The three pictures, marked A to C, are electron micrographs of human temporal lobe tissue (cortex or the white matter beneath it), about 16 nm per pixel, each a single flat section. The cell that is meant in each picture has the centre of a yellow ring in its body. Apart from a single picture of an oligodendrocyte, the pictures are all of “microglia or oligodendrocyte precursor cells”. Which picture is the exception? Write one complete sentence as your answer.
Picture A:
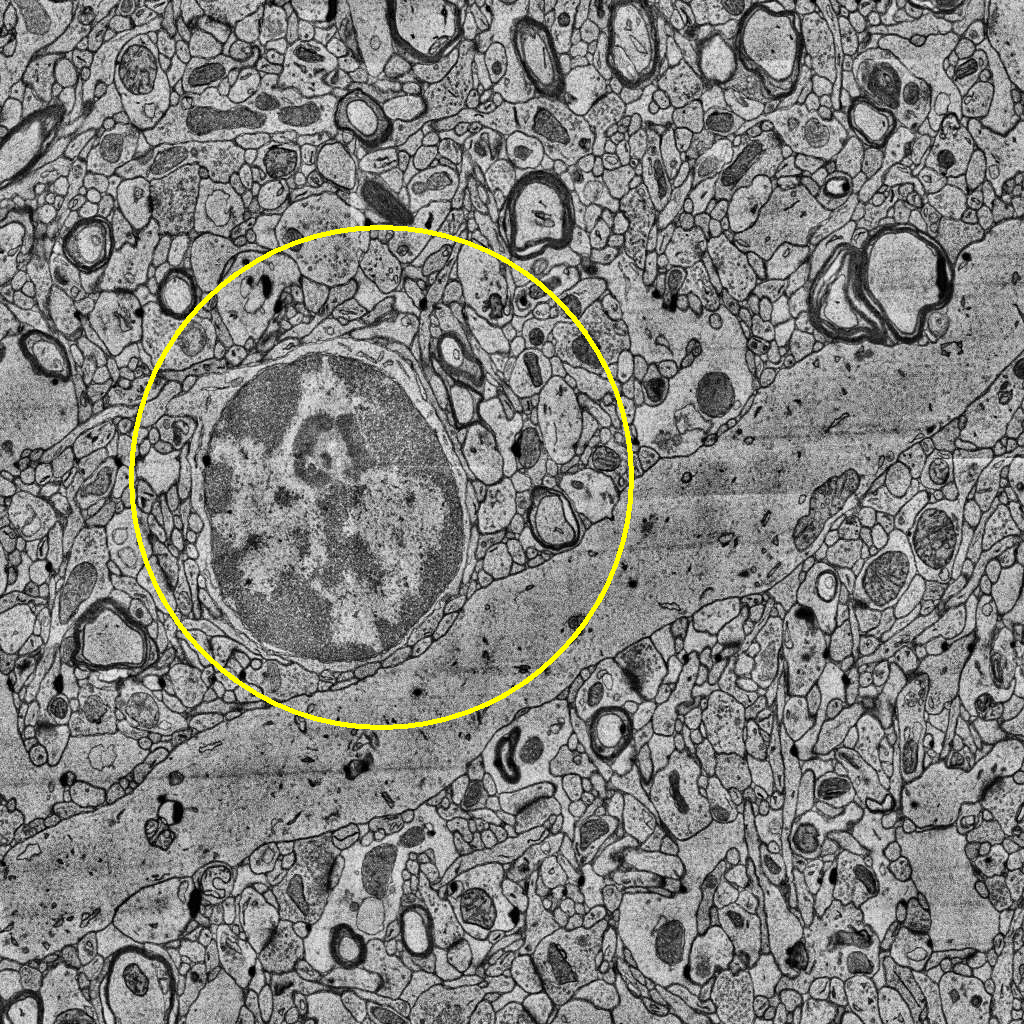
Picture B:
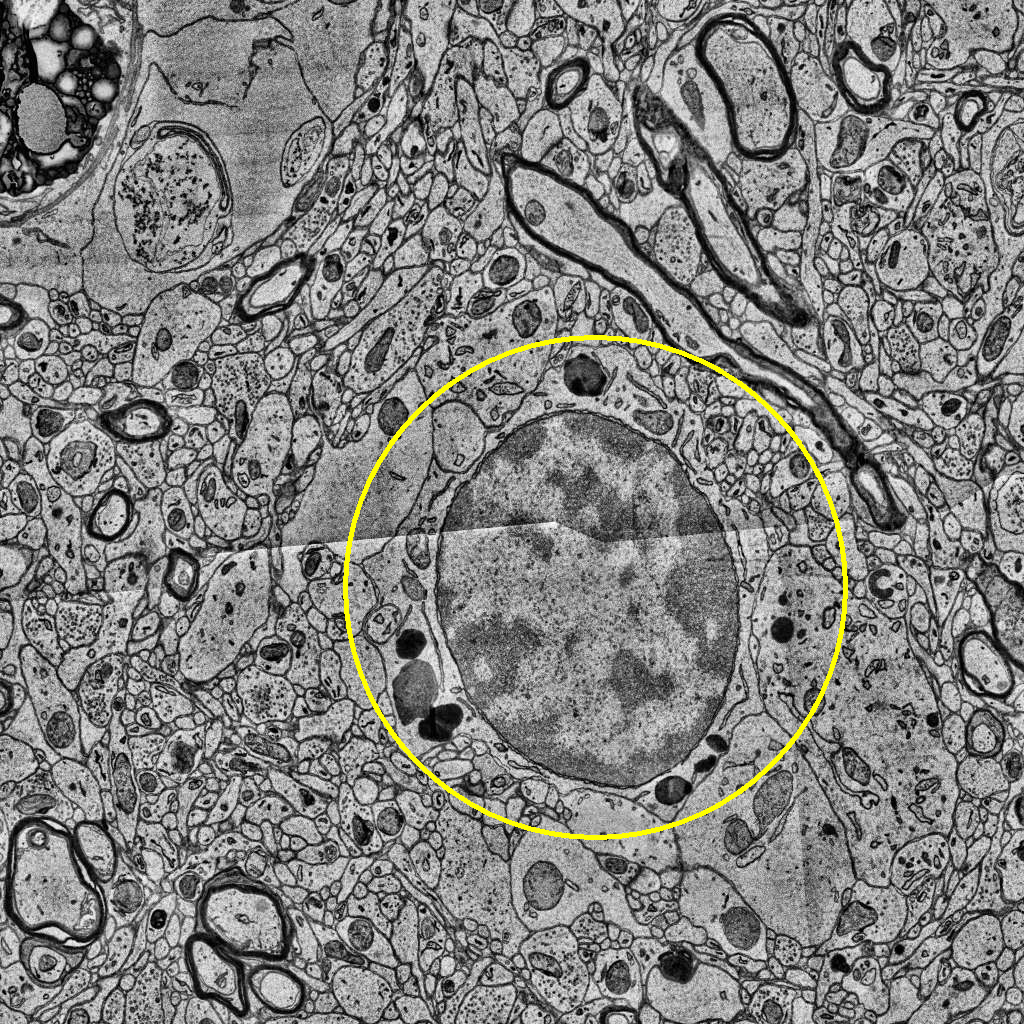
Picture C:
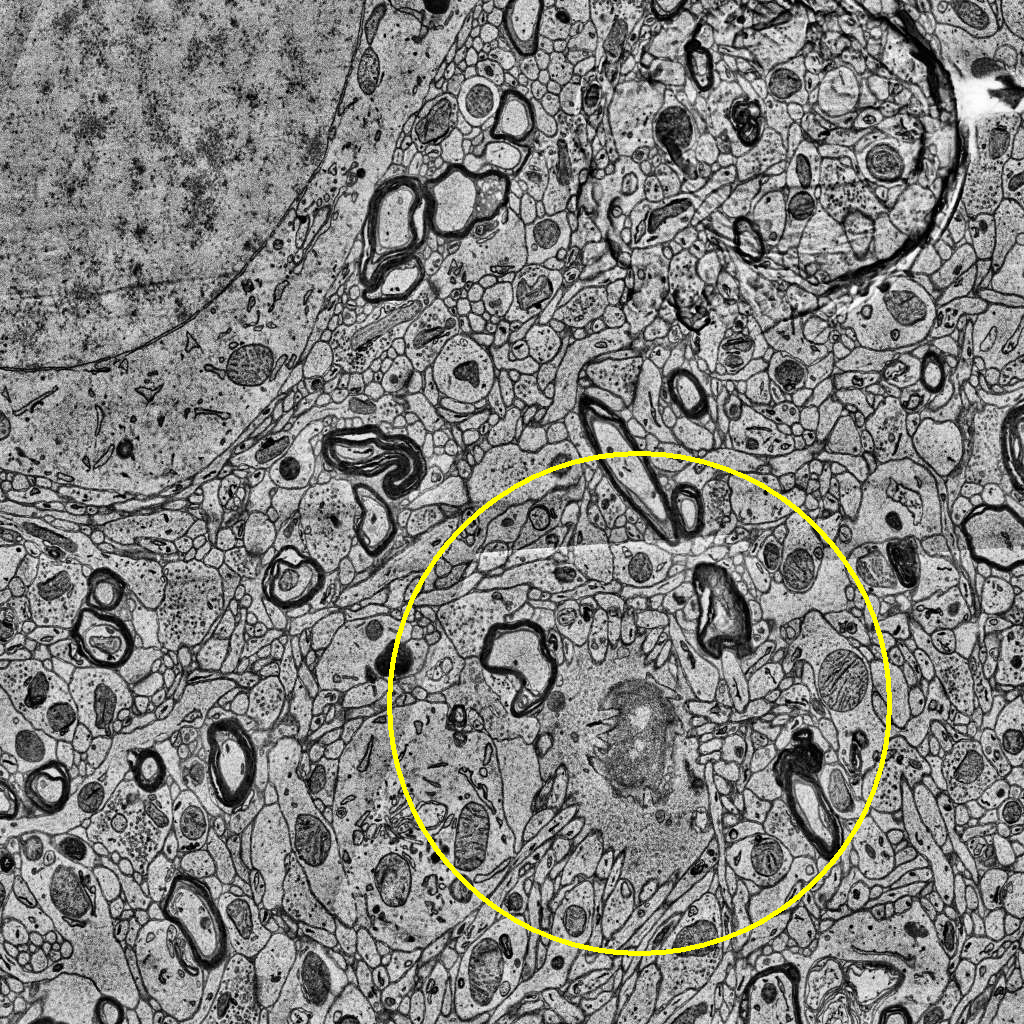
It is picture C that shows the oligodendrocyte.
